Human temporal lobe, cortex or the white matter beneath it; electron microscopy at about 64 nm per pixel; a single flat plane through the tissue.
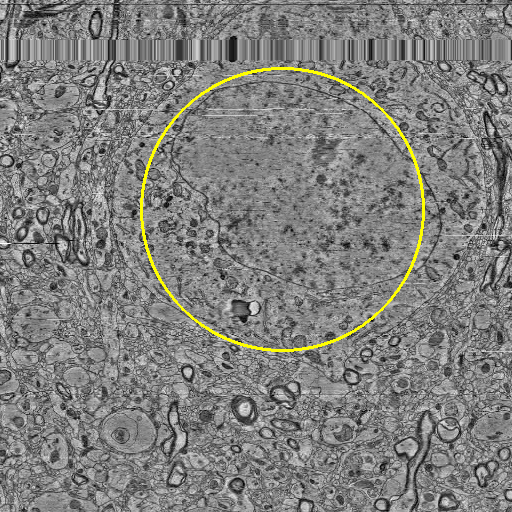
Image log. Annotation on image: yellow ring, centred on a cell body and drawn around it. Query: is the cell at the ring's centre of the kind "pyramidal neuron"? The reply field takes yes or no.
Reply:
yes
